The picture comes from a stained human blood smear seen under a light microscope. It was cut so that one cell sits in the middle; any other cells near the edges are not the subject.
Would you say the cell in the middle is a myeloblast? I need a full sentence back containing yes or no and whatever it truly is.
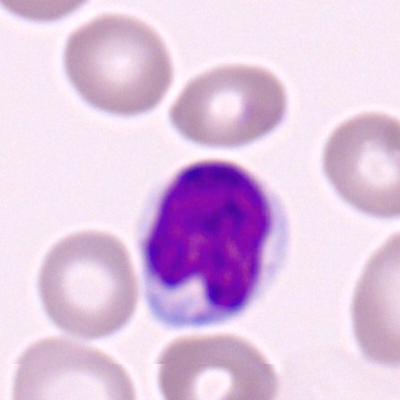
No, the cell of interest here is a lymphocyte and not a myeloblast.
